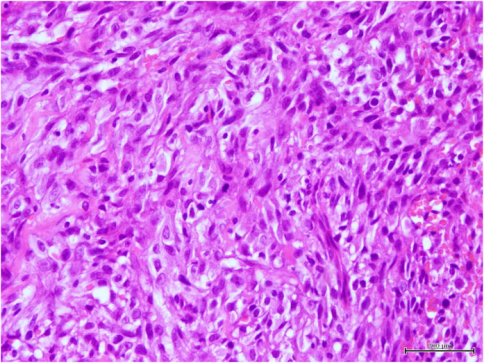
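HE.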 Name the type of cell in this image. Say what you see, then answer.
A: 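Many cells are elongated with tapered ends. Nuclei are oval to elongated and dark.
Hence: spindle cells.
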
